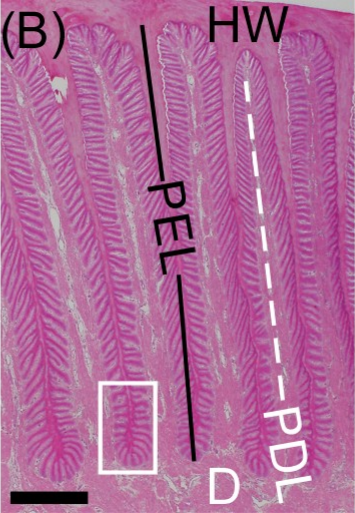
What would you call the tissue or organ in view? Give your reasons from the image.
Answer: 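Many long, parallel, pink leaf-like ridges hang down from a solid pink band at the top. Each ridge bears fine side branches along its length. Paler loose connective tissue fills the spaces between the ridges. The answer: lamellar region.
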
